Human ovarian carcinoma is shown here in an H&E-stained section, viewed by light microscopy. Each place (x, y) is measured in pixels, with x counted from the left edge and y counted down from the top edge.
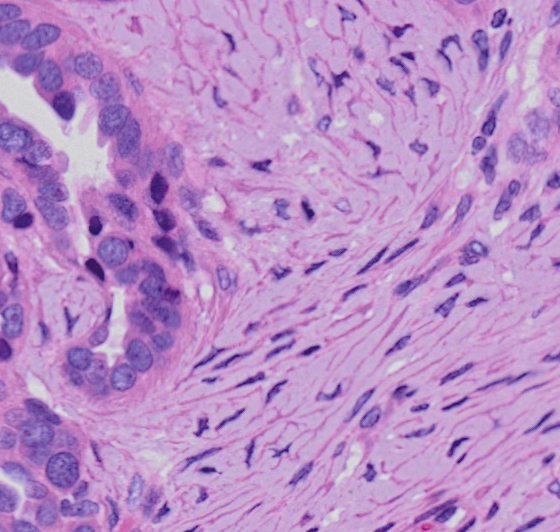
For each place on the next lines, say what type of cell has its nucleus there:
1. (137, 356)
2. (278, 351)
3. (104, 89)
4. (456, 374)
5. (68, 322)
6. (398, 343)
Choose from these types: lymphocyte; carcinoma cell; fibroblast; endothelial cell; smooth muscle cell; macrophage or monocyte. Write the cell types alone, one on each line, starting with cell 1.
carcinoma cell
fibroblast
carcinoma cell
fibroblast
fibroblast
fibroblast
